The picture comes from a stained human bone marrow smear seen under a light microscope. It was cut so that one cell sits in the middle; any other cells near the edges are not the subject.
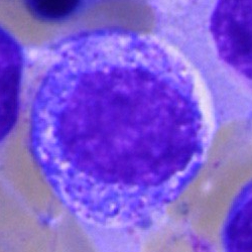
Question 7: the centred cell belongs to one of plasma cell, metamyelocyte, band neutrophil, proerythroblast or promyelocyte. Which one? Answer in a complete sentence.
In this crop, the cell at the very middle is a promyelocyte.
